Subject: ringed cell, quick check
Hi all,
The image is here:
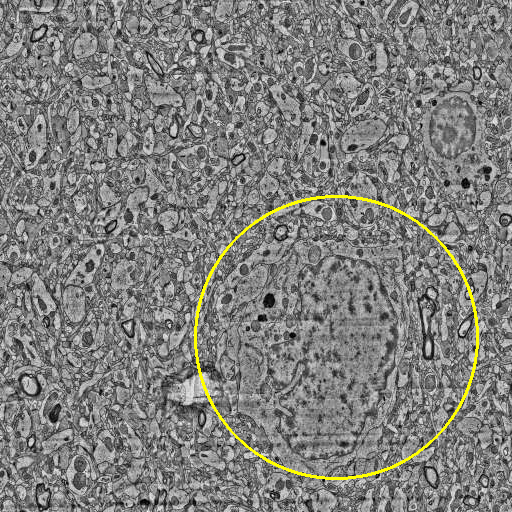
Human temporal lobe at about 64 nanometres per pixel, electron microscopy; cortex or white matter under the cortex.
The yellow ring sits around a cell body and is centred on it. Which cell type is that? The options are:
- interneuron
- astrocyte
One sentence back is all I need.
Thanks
That ringed cell is an interneuron.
